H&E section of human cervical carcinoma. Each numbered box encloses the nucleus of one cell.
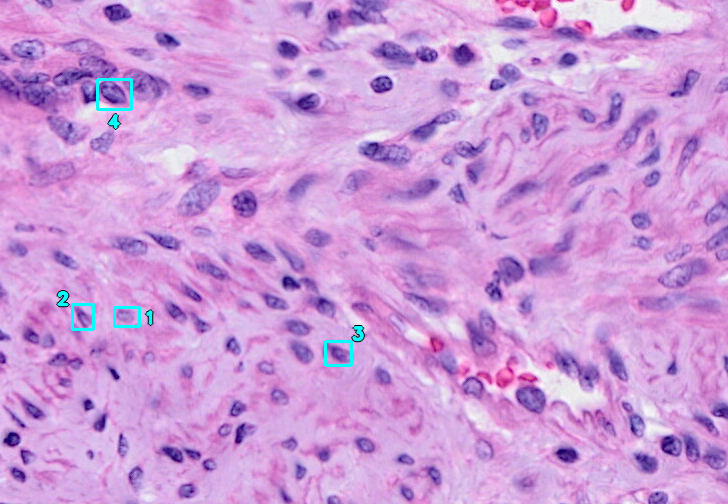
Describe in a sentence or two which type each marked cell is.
Cell 1 is a smooth muscle cell, cell 2 is a smooth muscle cell, cell 3 is a smooth muscle cell and cell 4 is an endothelial cell.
